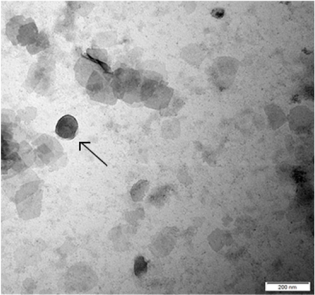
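Transmission electron micrograph of an isolated vesicle preparation on a pale grey background. A single small, round, membrane-bounded vesicle with a dark rim, smaller than the scale bar, is marked by an arrow. It lies among larger, irregular, flat, pale grey sheet-like fragments of varying size, scattered across the field and partly overlapping. A few small dark irregular particles also appear, one toward the top and one near the bottom of the field. No intact cells or nuclei are present; the field shows only extracellular particulate material.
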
